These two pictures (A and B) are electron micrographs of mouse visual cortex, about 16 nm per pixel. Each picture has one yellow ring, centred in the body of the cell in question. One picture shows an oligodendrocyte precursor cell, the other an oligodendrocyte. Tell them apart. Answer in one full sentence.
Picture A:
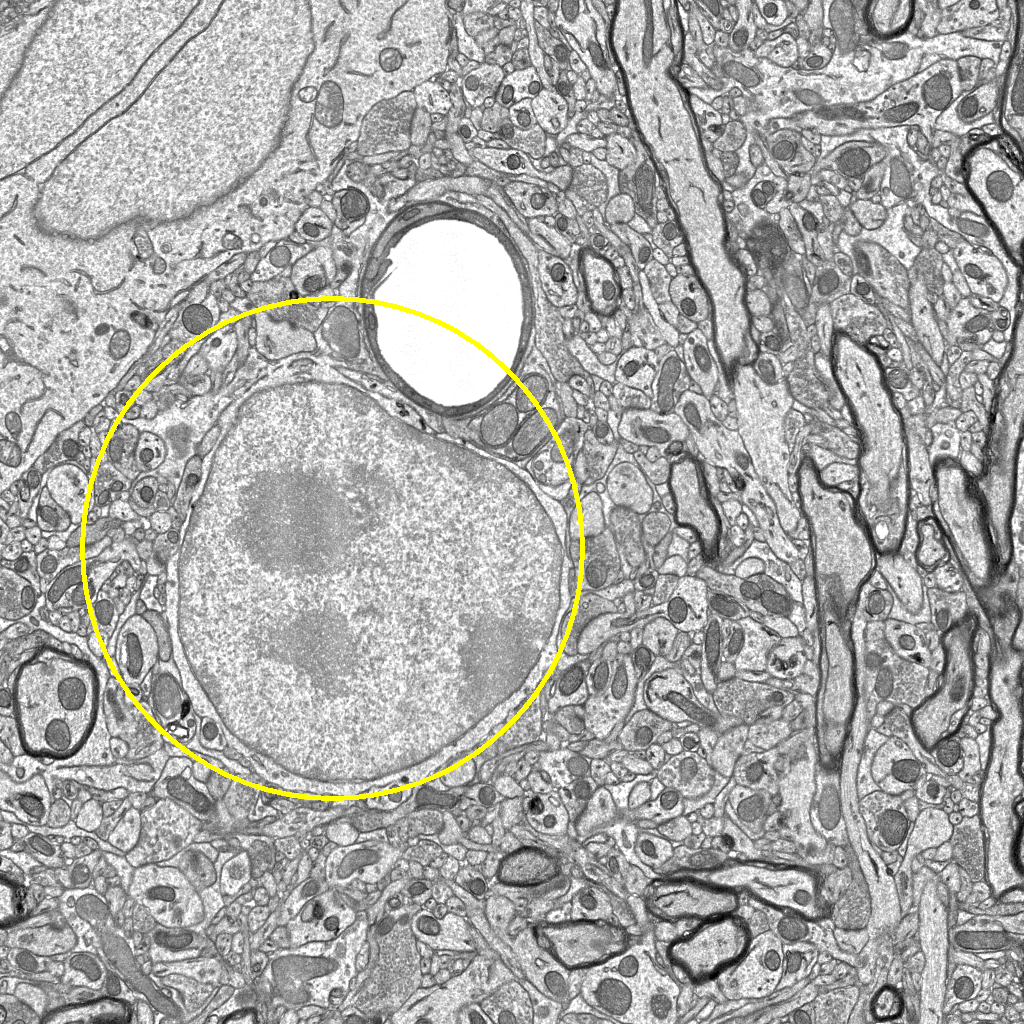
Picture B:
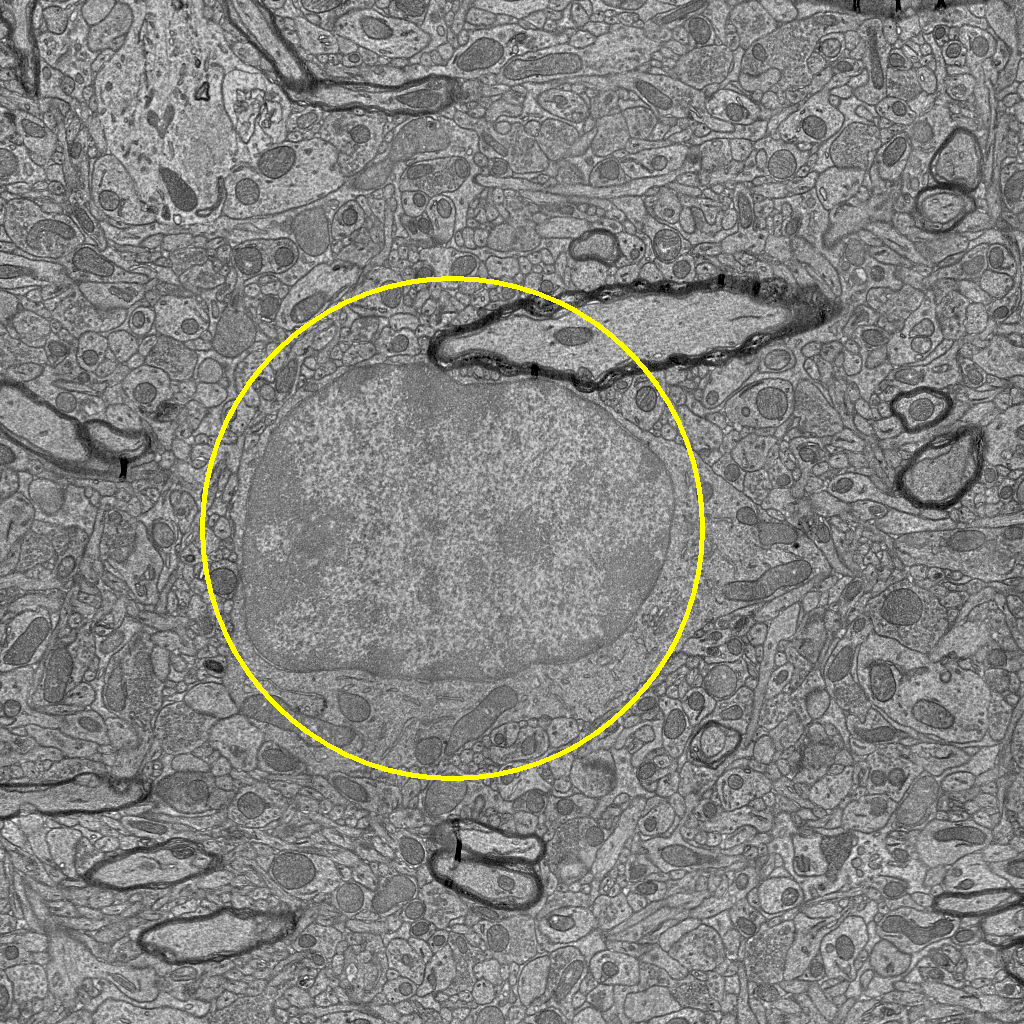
Picture A shows an oligodendrocyte precursor cell and picture B shows an oligodendrocyte.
